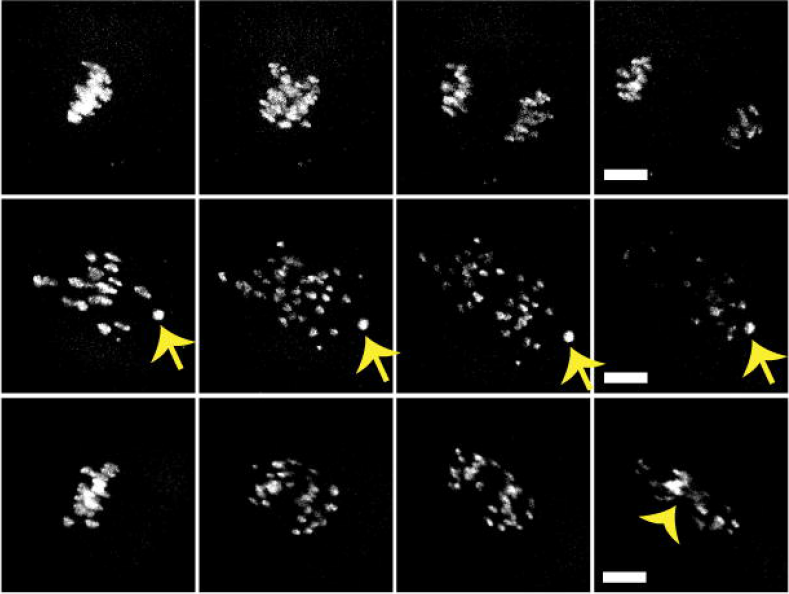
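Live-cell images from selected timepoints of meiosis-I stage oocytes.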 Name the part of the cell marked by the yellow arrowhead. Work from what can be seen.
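The arrowhead in the last frame of the bottom row points to a bright chromosome within the dividing chromosome mass.
Lagging chromosome.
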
